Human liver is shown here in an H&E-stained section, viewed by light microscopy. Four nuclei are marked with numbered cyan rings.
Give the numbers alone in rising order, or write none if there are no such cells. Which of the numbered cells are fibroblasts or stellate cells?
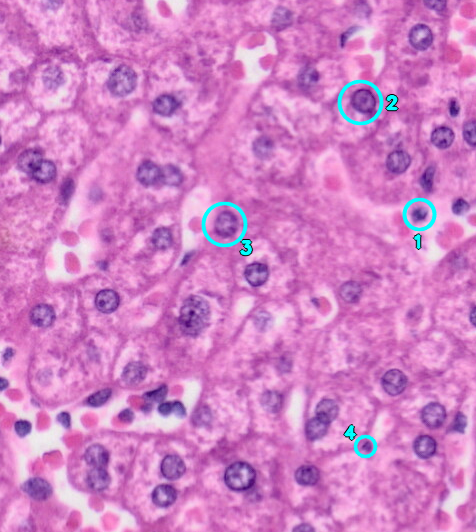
4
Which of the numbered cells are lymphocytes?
1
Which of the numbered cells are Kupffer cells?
none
